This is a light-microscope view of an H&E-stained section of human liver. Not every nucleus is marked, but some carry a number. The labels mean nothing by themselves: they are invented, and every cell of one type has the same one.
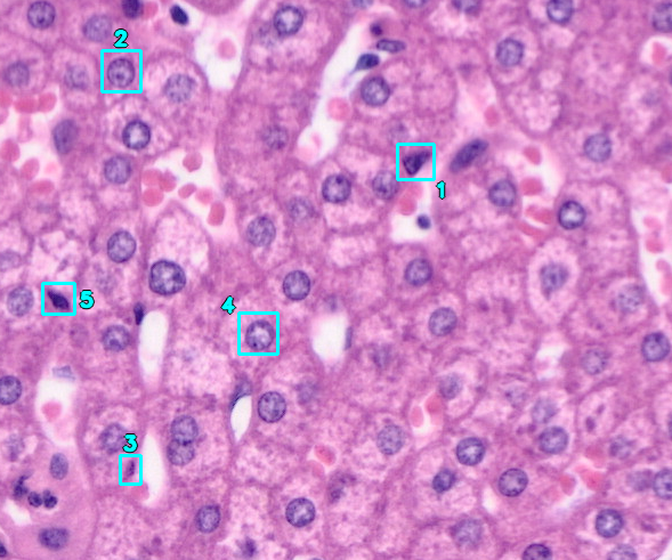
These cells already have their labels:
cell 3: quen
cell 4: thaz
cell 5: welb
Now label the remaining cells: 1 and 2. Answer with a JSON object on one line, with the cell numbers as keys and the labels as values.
{"1": "welb", "2": "thaz"}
